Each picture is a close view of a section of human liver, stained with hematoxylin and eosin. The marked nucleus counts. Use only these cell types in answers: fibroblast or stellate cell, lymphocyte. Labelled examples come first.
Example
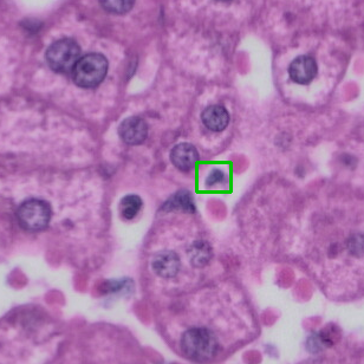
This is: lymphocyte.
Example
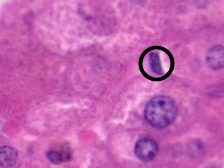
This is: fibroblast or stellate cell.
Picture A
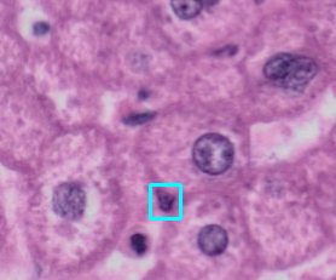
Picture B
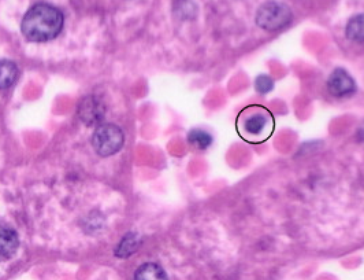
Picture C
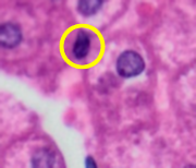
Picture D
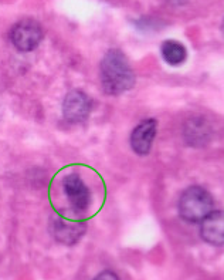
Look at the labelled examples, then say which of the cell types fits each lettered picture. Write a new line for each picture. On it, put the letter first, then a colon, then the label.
A: fibroblast or stellate cell.
B: lymphocyte.
C: fibroblast or stellate cell.
D: fibroblast or stellate cell.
